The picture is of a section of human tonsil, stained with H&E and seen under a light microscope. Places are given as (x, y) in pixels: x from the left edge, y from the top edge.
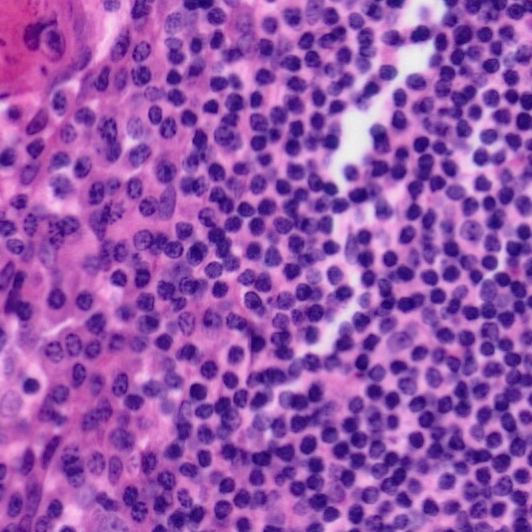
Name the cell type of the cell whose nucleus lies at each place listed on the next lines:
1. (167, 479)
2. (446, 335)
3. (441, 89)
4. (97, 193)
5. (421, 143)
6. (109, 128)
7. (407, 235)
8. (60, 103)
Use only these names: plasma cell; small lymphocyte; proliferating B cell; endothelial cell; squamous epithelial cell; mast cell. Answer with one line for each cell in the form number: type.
1: plasma cell
2: small lymphocyte
3: small lymphocyte
4: plasma cell
5: small lymphocyte
6: plasma cell
7: small lymphocyte
8: plasma cell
